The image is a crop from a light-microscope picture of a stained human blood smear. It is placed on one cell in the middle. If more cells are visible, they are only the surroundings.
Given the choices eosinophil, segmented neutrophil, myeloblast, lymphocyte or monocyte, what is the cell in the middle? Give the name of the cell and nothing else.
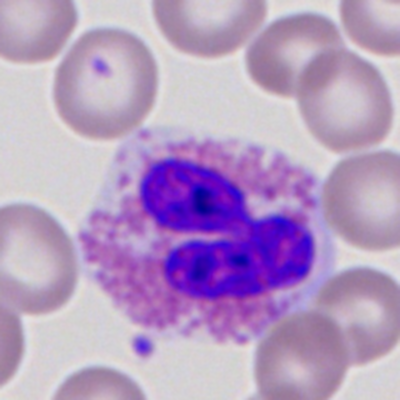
eosinophil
